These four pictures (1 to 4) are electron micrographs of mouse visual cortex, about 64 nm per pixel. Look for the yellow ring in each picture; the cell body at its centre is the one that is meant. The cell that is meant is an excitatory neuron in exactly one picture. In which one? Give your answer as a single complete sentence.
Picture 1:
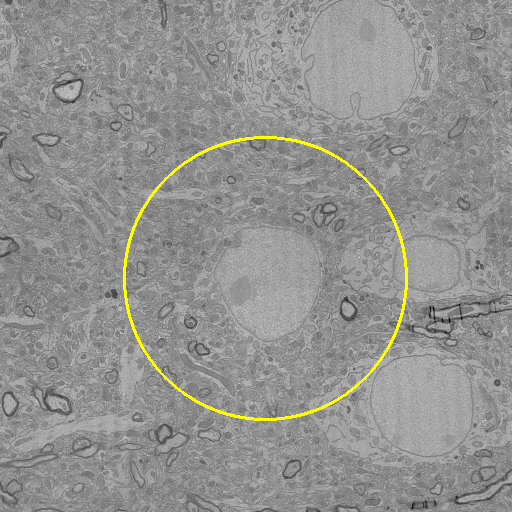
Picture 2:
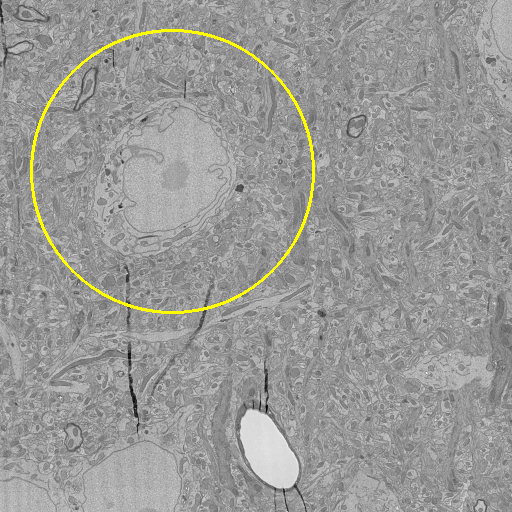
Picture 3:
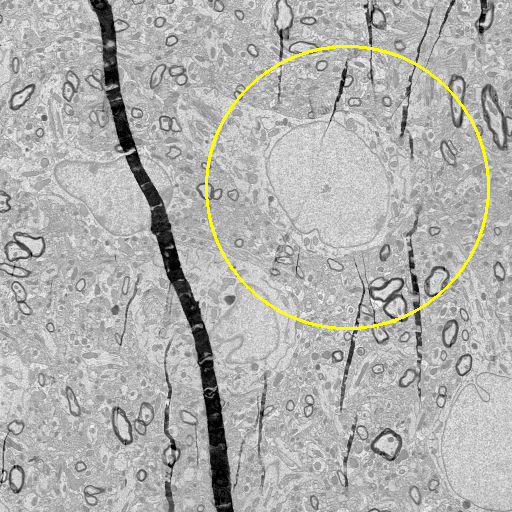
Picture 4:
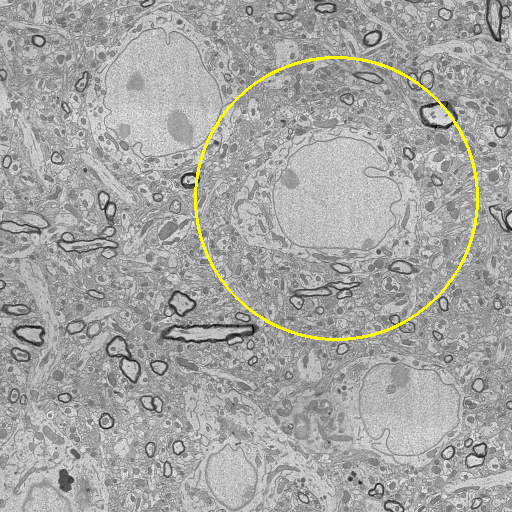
The excitatory neuron is the one in picture 4.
